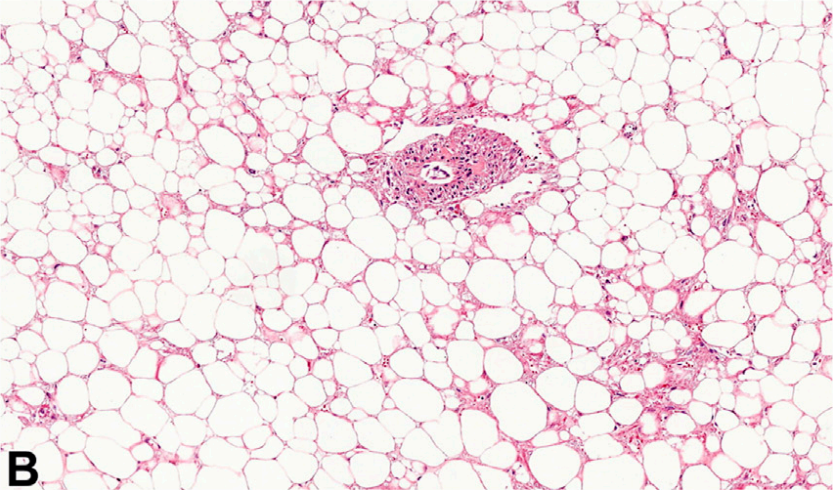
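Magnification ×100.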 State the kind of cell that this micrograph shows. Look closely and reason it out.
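Most of the field is filled by large round-to-polygonal empty vacuoles. The vacuoles are bounded by thin pink membranes. Nuclei are sparse and pushed to the edges of the vacuoles.
Answer: adipocytes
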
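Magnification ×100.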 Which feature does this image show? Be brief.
Blood vessels.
